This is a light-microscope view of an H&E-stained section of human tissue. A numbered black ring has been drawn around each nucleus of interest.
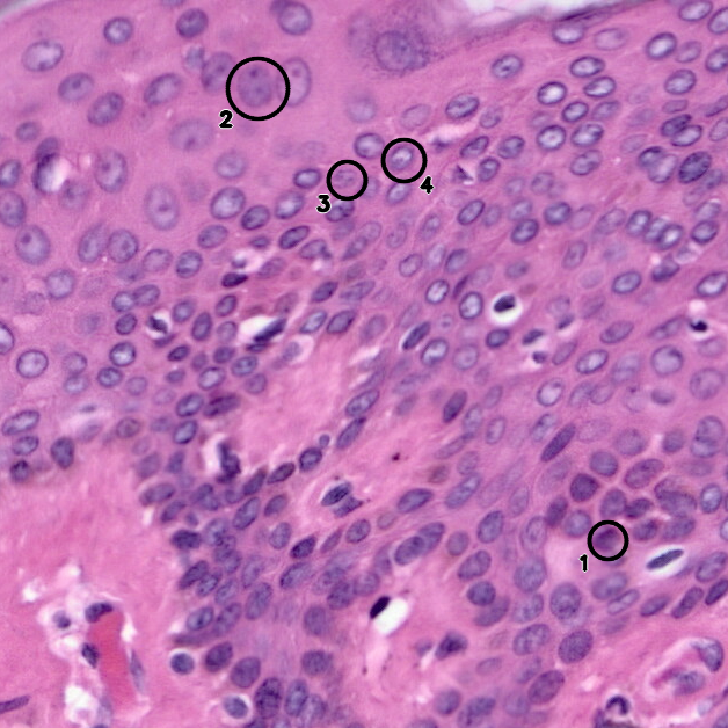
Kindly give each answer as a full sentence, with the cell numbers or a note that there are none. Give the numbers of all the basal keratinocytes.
Exactly one numbered cell is a basal keratinocyte, and that cell is number 1.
